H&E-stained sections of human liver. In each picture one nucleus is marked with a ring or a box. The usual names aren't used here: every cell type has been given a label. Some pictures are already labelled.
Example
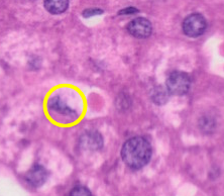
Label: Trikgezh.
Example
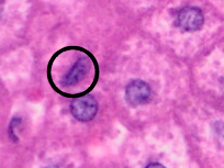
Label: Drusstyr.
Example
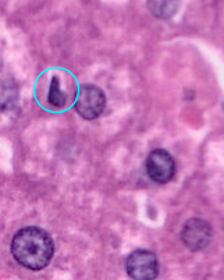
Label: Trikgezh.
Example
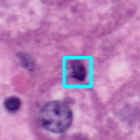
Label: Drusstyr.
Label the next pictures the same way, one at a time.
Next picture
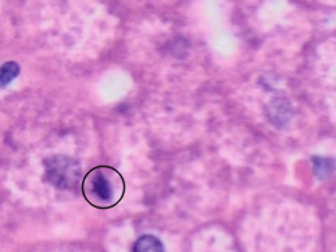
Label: Drusstyr.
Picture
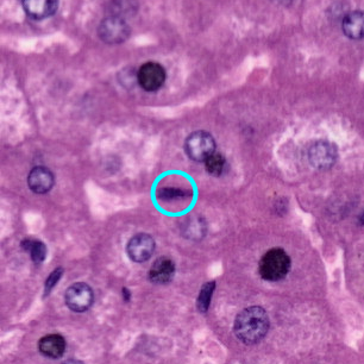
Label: Drusstyr.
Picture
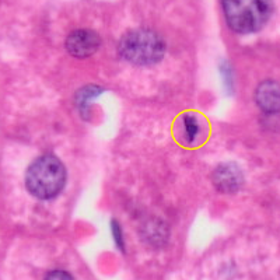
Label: Drusstyr.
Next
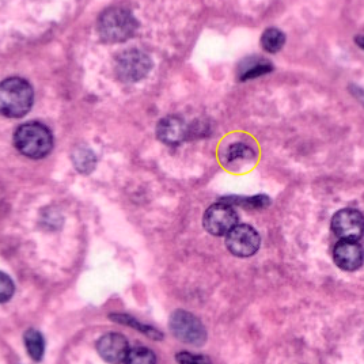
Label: Drusstyr.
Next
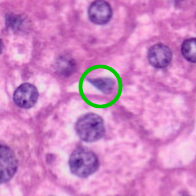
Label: Trikgezh.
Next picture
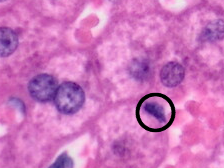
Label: Drusstyr.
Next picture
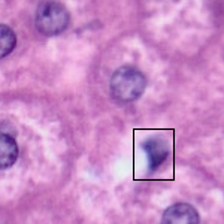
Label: Trikgezh.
